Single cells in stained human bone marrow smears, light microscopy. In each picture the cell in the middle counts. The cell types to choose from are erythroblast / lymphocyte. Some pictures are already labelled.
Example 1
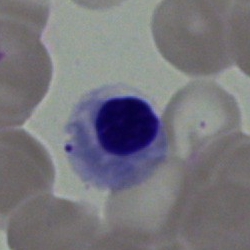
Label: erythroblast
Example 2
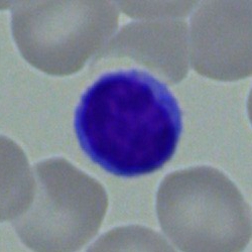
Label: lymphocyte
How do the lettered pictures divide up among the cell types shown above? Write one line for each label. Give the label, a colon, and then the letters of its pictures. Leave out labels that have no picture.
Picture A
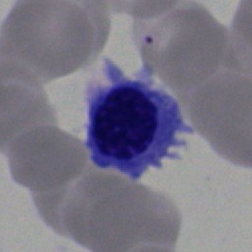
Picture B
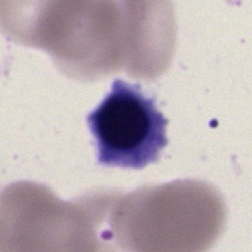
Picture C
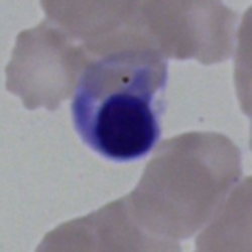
erythroblast: A, B, C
